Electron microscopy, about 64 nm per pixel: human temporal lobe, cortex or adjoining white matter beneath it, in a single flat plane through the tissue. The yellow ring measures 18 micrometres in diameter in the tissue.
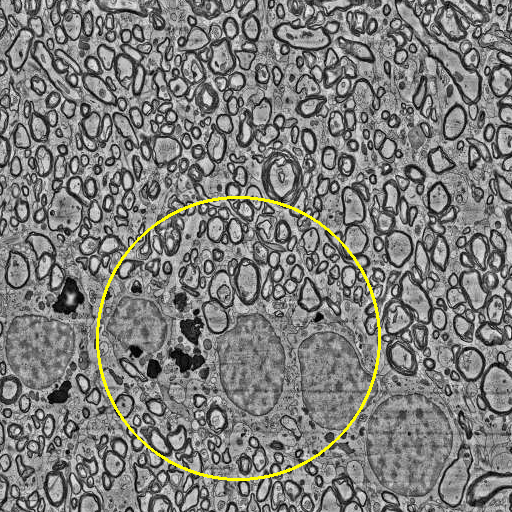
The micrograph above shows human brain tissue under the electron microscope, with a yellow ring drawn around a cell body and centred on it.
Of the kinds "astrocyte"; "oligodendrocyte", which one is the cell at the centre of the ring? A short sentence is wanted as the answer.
The one at the centre of the ring is an oligodendrocyte.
